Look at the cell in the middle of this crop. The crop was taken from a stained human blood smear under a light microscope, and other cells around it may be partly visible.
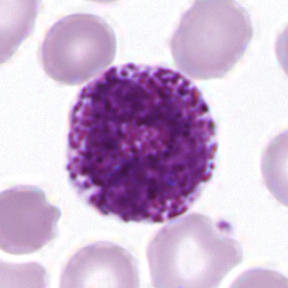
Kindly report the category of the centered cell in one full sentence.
For this crop, the central cell is a basophil.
